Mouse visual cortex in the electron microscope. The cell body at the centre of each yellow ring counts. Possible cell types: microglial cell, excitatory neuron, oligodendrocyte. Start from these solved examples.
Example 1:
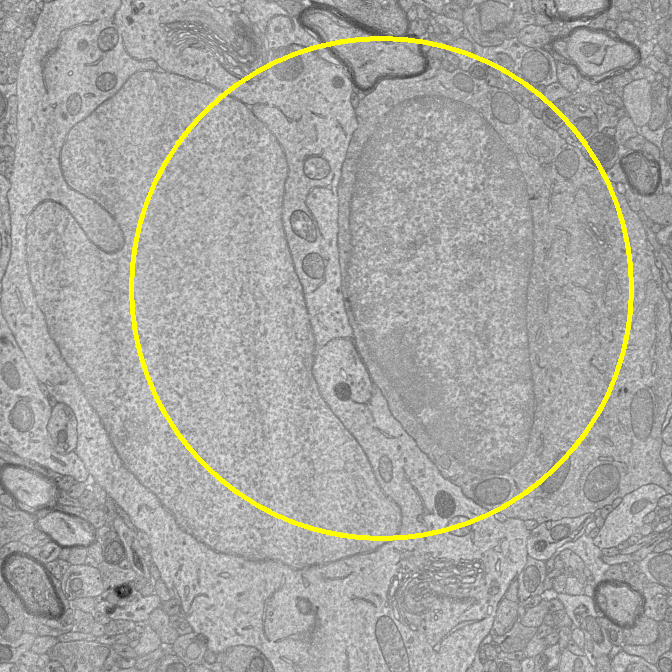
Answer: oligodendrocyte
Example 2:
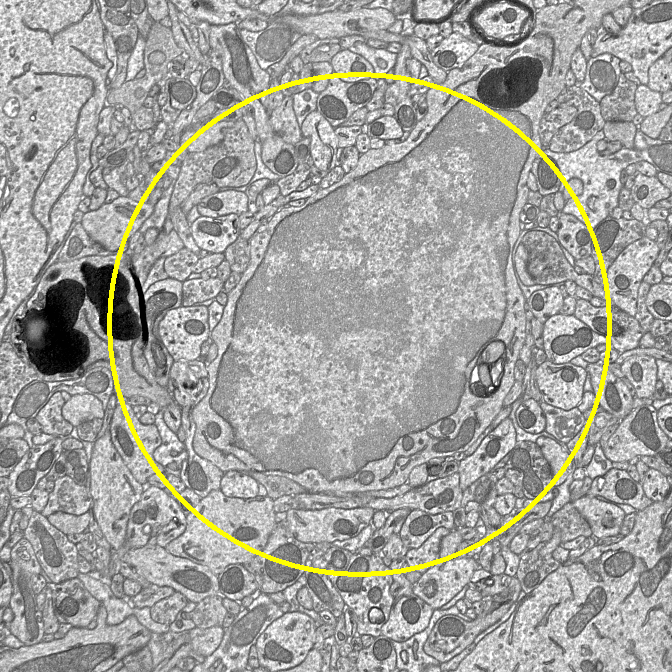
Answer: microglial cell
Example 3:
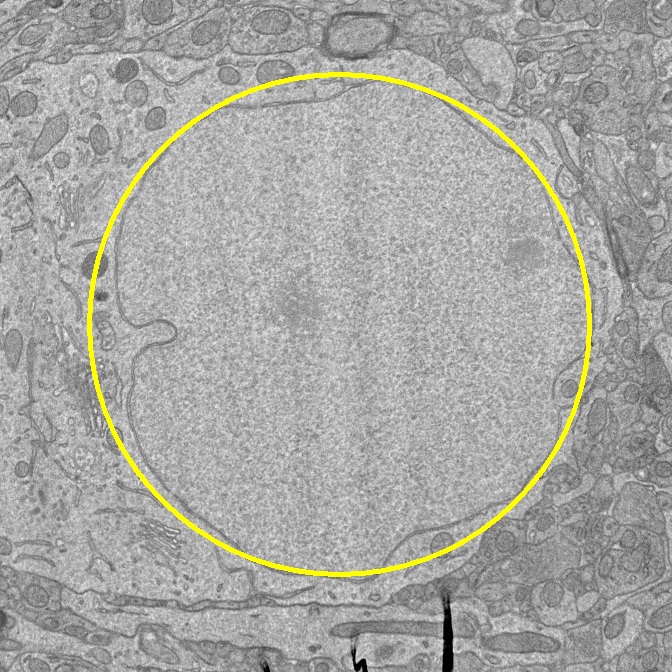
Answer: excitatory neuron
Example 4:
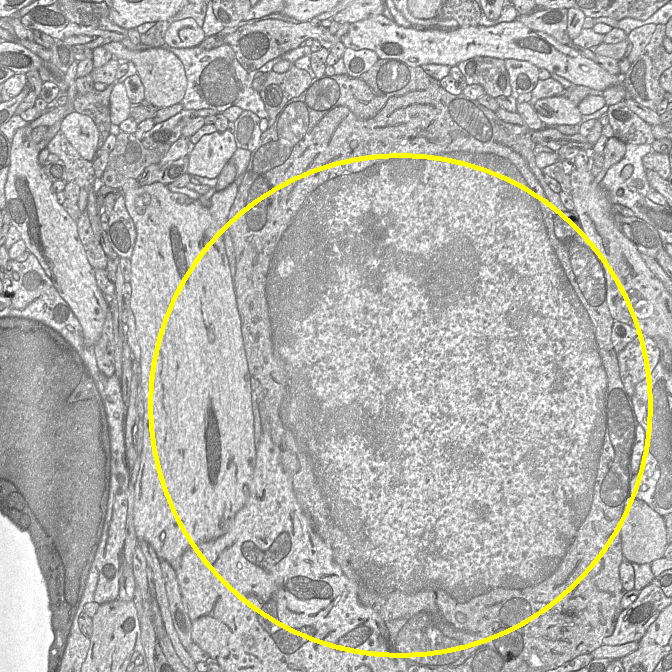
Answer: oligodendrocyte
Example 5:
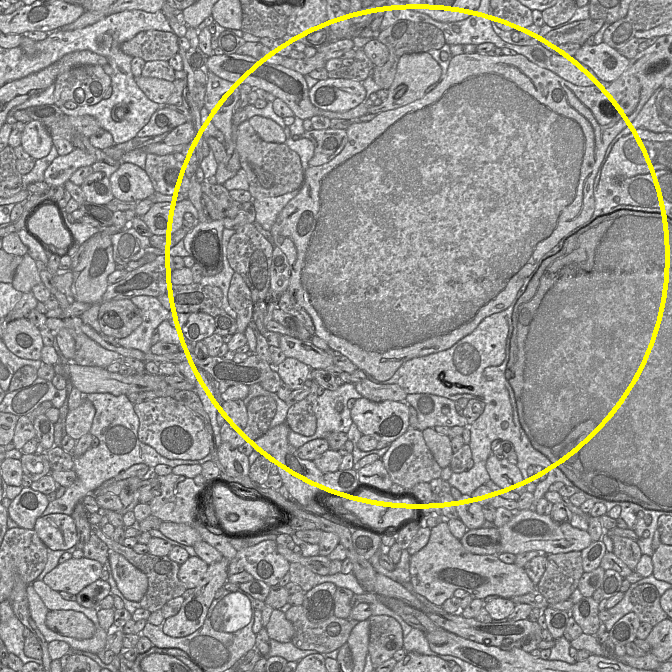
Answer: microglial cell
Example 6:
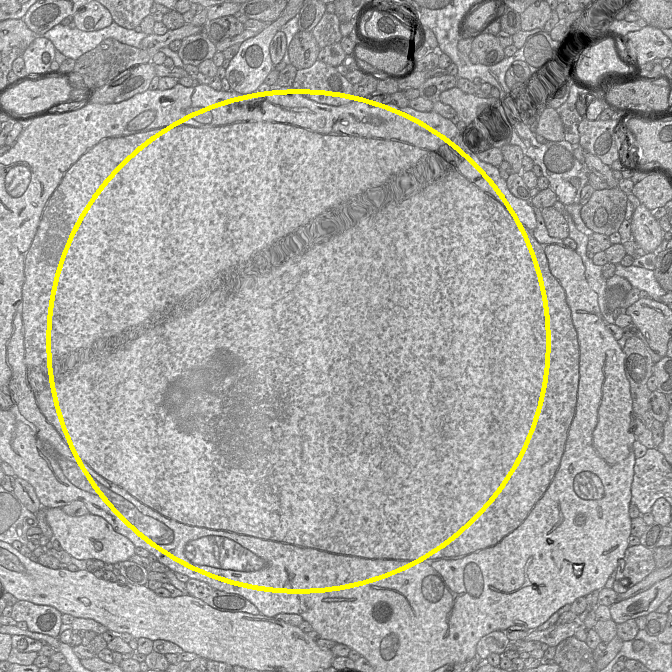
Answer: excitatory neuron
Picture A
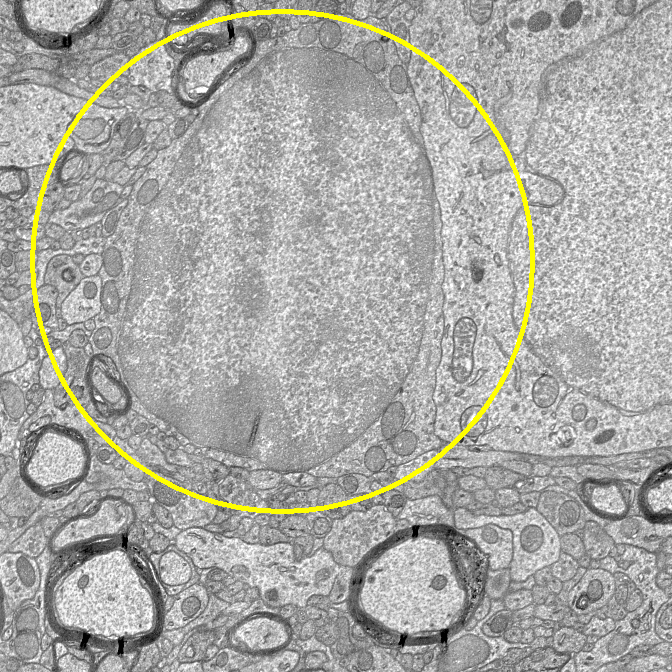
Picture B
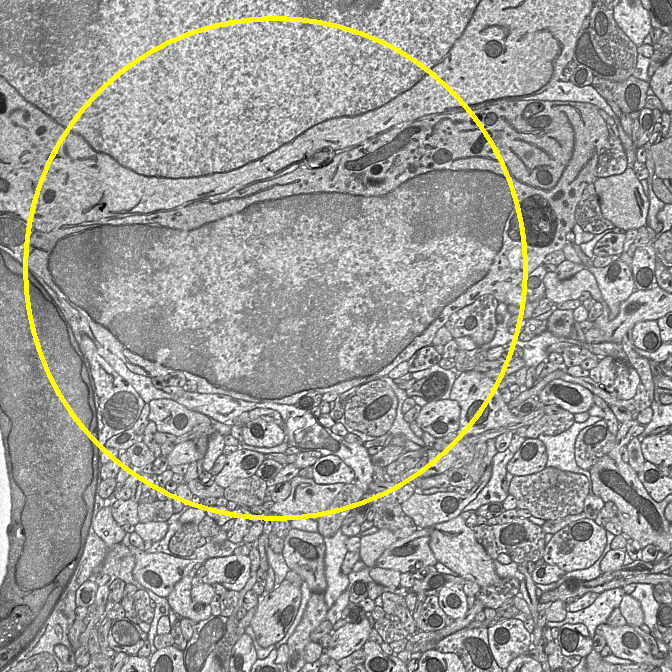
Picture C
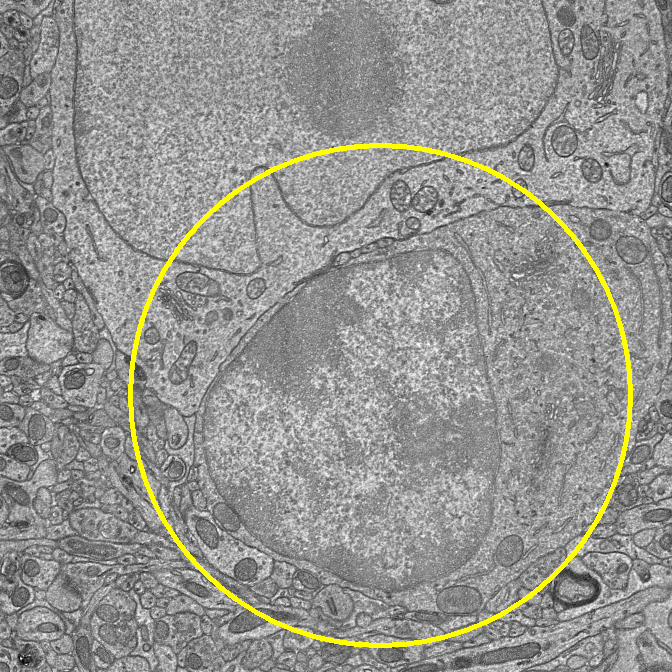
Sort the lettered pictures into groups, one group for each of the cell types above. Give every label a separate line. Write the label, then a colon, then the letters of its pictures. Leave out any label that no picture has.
microglial cell: B
oligodendrocyte: A, C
